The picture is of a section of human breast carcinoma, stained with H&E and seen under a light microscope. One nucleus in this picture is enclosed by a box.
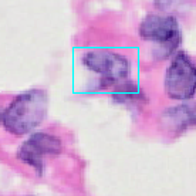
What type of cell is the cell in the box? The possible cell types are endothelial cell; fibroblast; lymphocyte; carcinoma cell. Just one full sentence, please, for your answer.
So far as cell type goes, the cell in the box is a carcinoma cell.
